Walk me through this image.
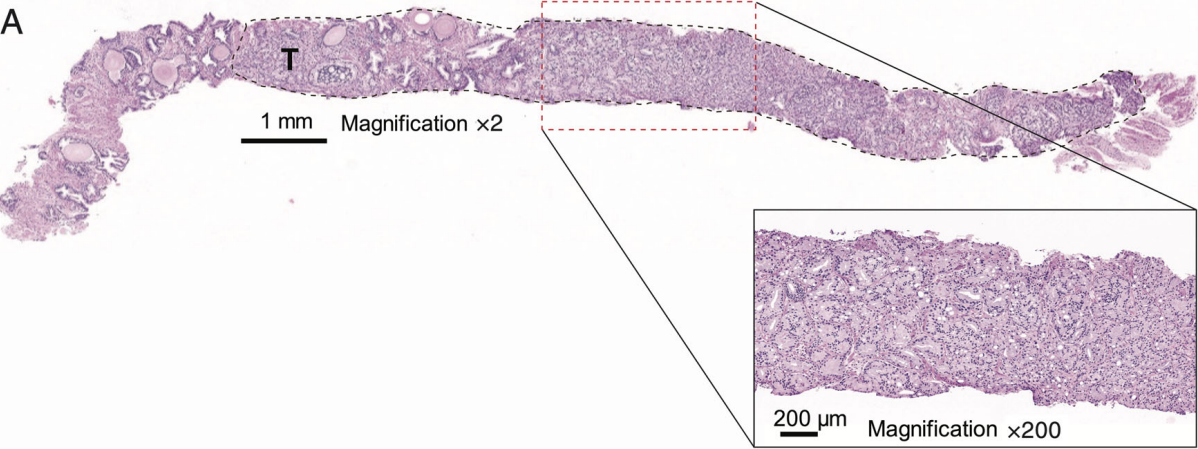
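A long, thin core of prostate tissue is seen, stained pink and purple, with a magnified part below it. Over most of its length the tissue is crowded with small glands and cords of cells with pale pink cytoplasm and small dark nuclei, packed back to back with very little stroma between them. In the magnified view these small glands have narrow lumens and lie in sheets, without the larger branched outlines of ordinary glands. At the left end of the core, outside the outlined area, there are fewer, larger and more open glands, some of them holding rounded pink secretions. Together this looks like a core taken up mostly by a gland-forming tumour, with only a small rim of non-neoplastic prostate tissue.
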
